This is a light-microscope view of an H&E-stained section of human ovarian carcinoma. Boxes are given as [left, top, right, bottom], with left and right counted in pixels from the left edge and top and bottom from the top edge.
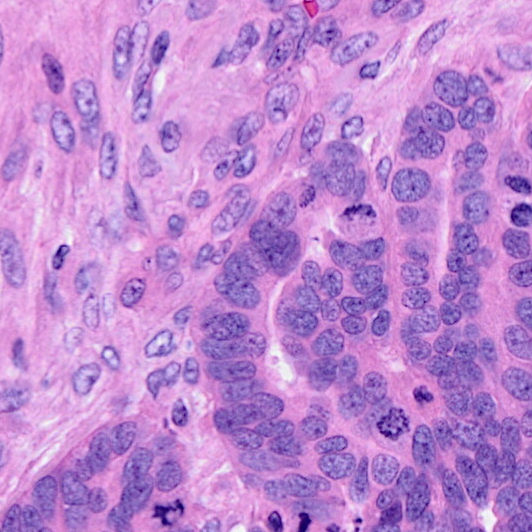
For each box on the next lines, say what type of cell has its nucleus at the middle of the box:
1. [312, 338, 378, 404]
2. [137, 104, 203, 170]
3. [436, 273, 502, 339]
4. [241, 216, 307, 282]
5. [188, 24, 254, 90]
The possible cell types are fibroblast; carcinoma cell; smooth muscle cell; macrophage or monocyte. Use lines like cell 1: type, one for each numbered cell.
cell 1: carcinoma cell
cell 2: fibroblast
cell 3: carcinoma cell
cell 4: carcinoma cell
cell 5: fibroblast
